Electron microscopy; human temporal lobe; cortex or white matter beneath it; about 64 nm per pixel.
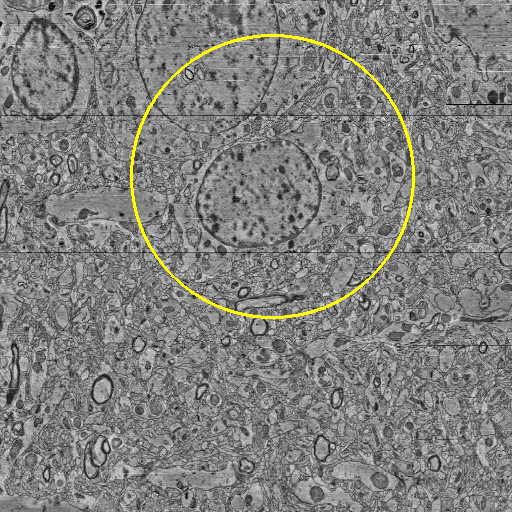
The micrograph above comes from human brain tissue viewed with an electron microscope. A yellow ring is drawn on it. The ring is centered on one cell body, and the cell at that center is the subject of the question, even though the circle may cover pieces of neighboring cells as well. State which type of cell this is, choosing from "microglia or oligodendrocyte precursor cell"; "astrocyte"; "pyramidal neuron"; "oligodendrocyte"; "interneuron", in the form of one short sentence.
The cell the ring is centered on is an astrocyte.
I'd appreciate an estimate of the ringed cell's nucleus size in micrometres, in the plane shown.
The nucleus is about 8 micrometres across in this plane.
